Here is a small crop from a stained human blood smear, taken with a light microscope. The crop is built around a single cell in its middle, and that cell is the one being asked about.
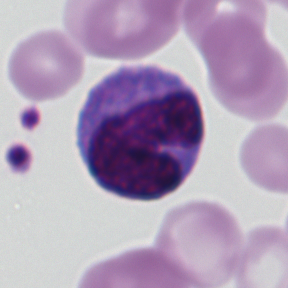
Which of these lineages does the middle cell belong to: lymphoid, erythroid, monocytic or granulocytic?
monocytic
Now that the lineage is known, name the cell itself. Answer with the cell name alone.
monocyte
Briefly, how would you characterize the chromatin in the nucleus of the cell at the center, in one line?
What stands out is chromatin that is coarsely clumped.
